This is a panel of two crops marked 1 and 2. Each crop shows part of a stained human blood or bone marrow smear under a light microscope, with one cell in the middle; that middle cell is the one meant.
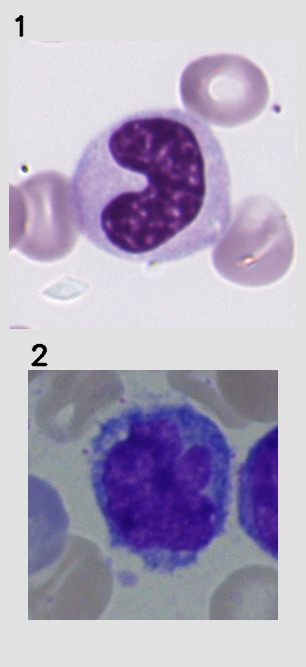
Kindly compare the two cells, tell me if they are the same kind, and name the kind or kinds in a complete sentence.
No, crop 1 is of a band neutrophil, and crop 2 is of a monocyte.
